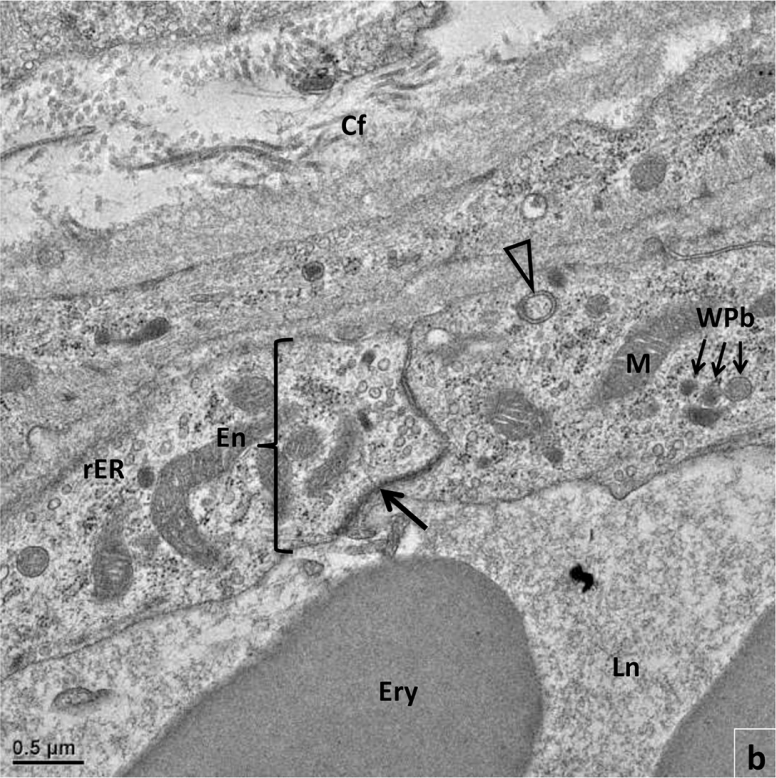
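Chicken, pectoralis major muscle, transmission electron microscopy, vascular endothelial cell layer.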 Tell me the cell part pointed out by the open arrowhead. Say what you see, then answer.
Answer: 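The open arrowhead points to a small round membrane-bound profile in the endothelial cytoplasm. The profile contains smaller vesicles inside it. So: membrane bound multivesicular body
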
